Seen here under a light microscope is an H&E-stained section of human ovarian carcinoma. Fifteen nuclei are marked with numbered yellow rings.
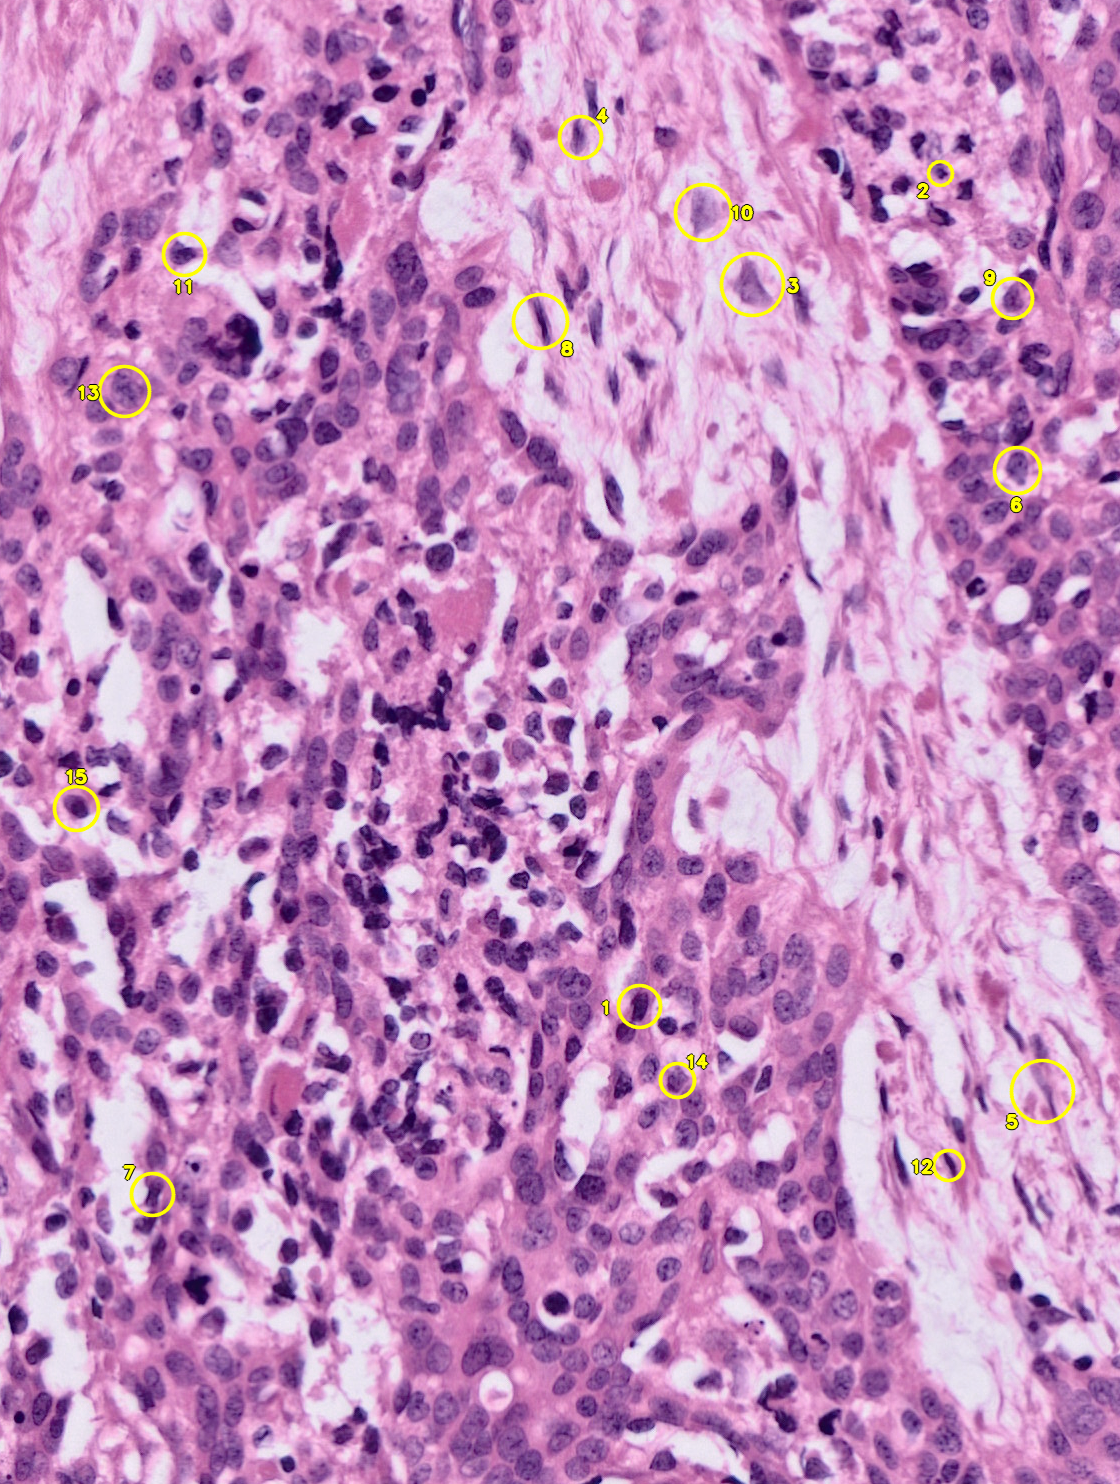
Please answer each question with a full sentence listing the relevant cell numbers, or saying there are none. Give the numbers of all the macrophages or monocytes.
In this section, the cells labelled 2, 6, 11 and 14 are macrophages or monocytes.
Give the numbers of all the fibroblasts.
The cells marked by the numbers 3, 4, 5, 8, 10 and 12 are fibroblasts.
